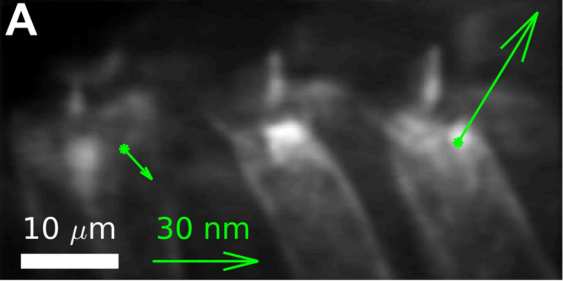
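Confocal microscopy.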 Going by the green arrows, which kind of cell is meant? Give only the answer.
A: Outer hair cells.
